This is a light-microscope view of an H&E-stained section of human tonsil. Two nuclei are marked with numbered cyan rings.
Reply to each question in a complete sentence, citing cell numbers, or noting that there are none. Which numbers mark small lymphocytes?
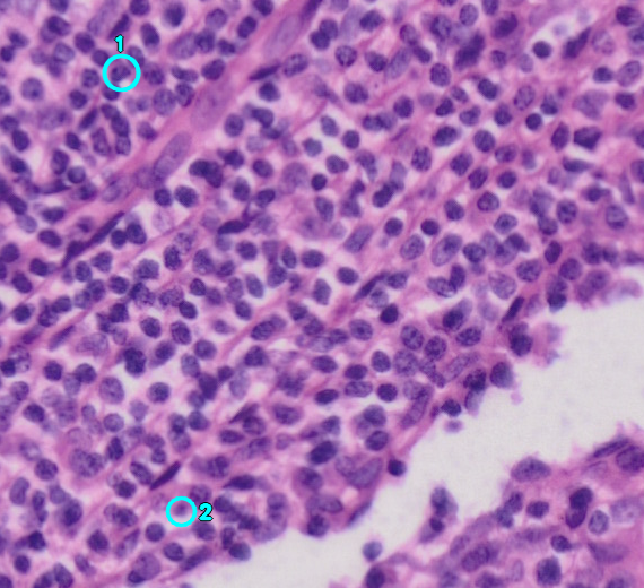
Only the cell numbered 1 is a small lymphocyte; none of the others is.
